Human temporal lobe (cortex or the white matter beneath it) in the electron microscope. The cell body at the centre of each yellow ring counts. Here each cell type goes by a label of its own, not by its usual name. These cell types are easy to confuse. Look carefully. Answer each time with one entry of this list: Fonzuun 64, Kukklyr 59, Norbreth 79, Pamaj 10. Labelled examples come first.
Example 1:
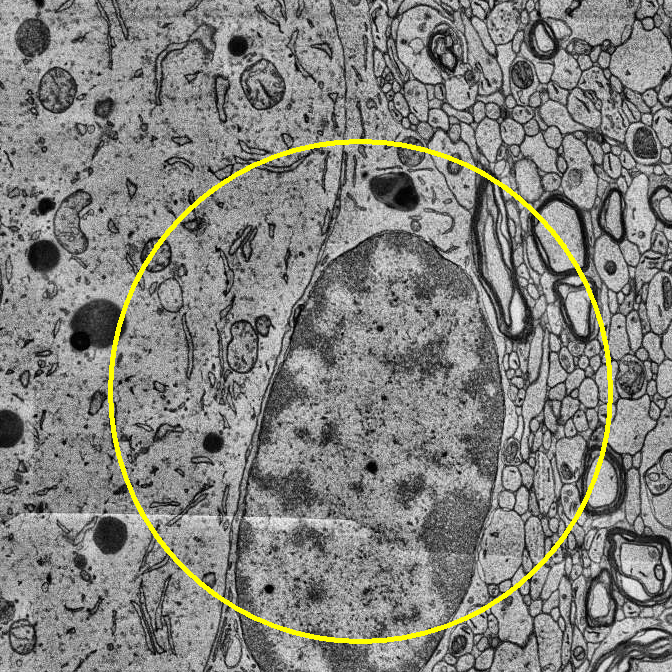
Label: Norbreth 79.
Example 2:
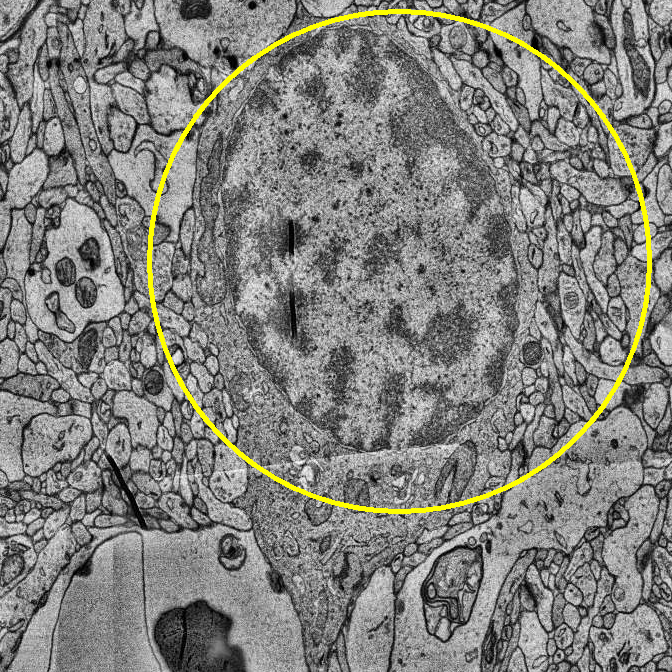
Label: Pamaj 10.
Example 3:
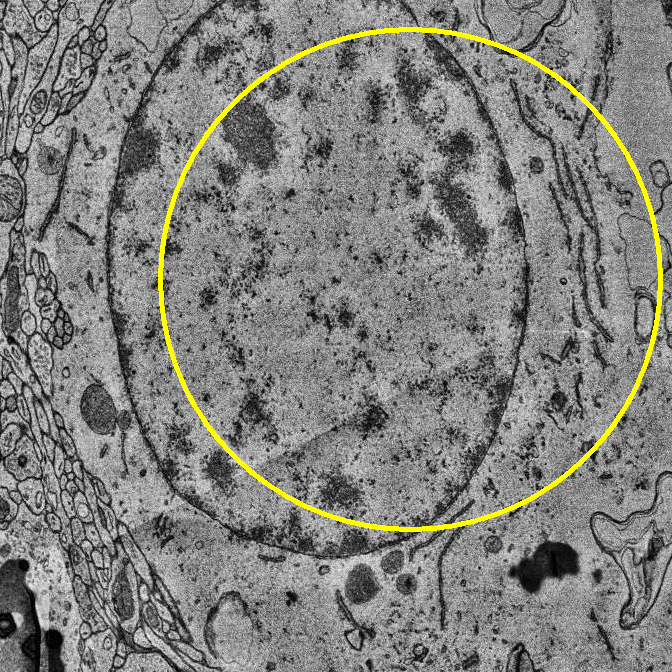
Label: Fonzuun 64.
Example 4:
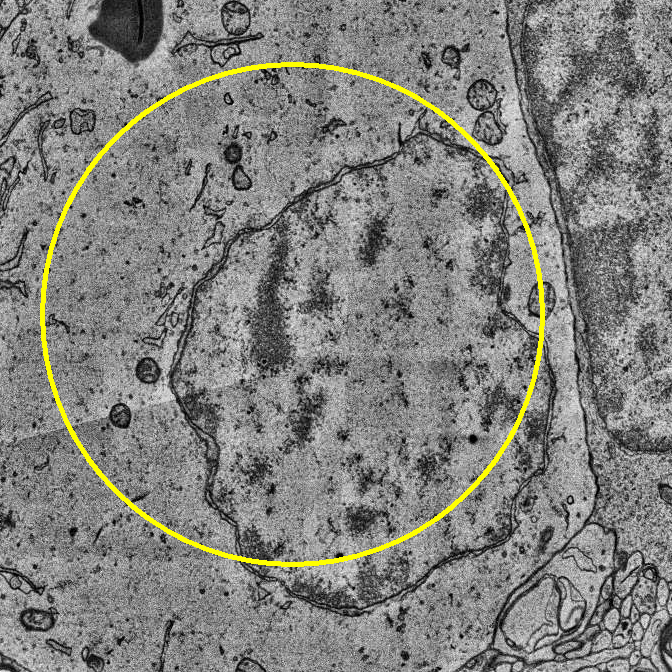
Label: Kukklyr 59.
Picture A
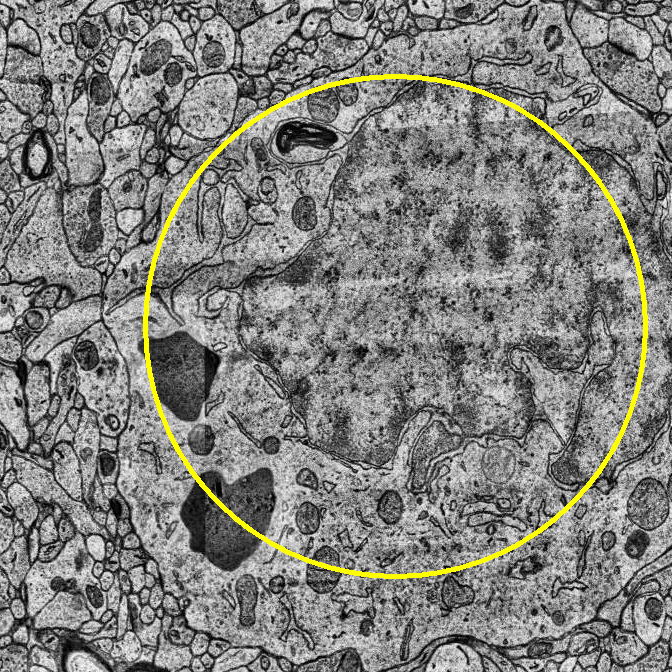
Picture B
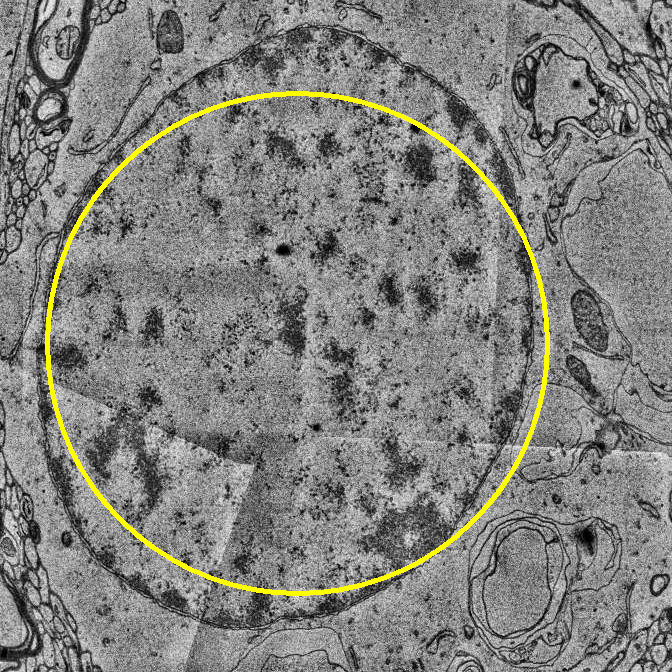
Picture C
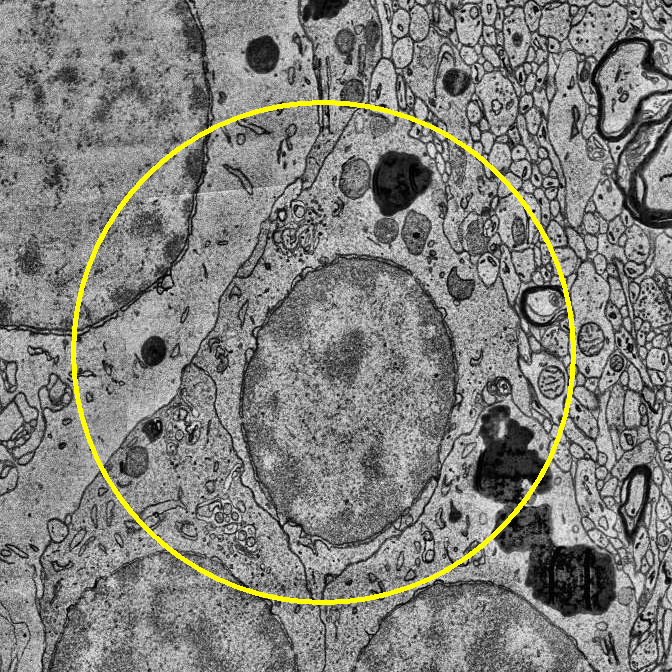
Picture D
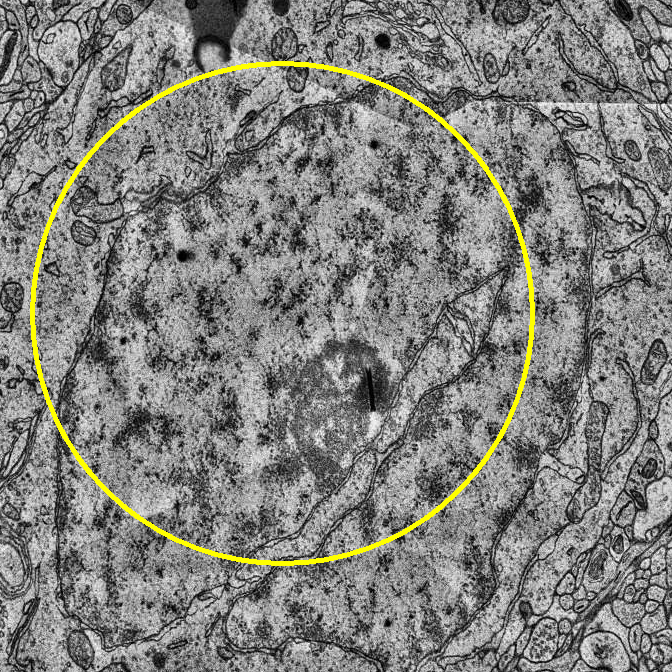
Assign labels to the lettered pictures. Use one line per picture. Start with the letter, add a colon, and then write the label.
A: Kukklyr 59.
B: Fonzuun 64.
C: Pamaj 10.
D: Kukklyr 59.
